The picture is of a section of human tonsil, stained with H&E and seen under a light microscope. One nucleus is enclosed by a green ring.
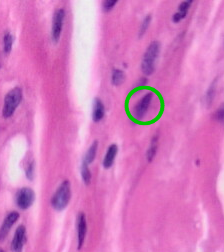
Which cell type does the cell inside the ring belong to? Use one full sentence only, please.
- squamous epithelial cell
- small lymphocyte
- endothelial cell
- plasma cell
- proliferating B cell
In terms of identity, the cell inside the ring is an endothelial cell.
